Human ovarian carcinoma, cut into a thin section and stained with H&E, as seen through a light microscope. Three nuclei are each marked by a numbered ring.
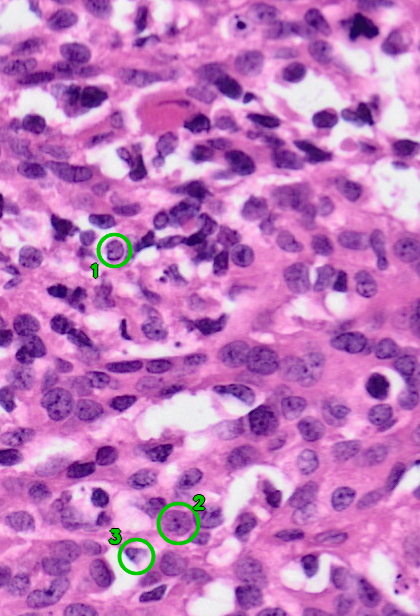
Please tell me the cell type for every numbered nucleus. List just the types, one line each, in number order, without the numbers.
macrophage or monocyte
carcinoma cell
carcinoma cell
